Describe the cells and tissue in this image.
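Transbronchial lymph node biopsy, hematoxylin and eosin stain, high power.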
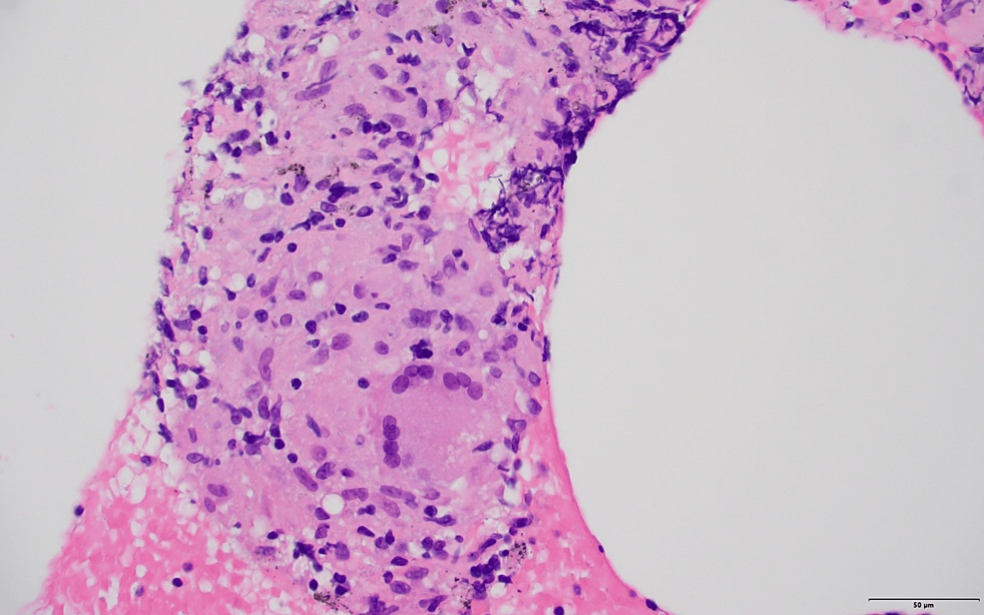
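The histiocytes have plentiful pale pink cytoplasm with indistinct borders and oval to elongated, pale nuclei. Near the lower centre a large giant cell gathers many oval nuclei within one broad field of pink cytoplasm. Small, dark, round lymphocyte nuclei crowd around the edge of the aggregate. The granuloma centre shows no structureless necrotic debris. Around the tissue are clear vacuolated spaces and bright pink background material, and small specks of dark pigment are scattered through it.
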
